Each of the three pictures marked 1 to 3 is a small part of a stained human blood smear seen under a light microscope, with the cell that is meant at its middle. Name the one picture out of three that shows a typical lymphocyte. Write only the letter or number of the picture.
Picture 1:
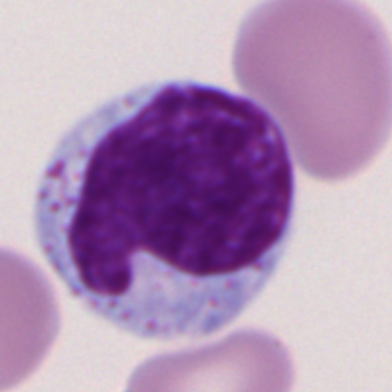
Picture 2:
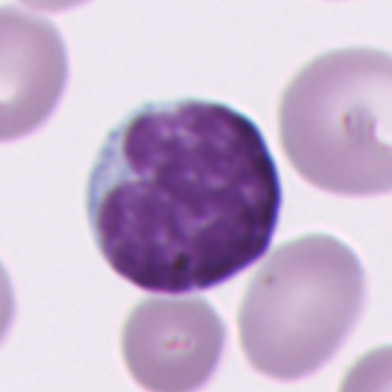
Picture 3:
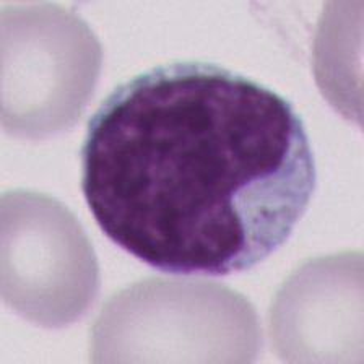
2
